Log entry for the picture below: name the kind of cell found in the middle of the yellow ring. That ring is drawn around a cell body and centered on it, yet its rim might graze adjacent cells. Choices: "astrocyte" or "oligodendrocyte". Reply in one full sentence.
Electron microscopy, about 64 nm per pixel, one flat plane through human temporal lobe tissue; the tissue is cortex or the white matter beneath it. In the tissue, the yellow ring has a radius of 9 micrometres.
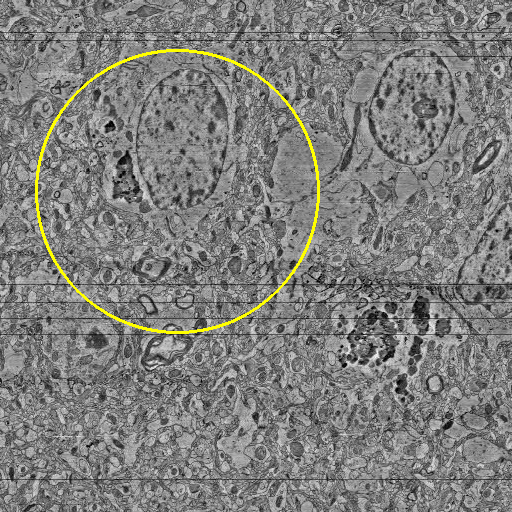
The cell in the middle of the yellow ring in this picture is an astrocyte.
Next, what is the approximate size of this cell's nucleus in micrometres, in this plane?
In this plane the nucleus measures roughly 9 by 6 micrometres.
